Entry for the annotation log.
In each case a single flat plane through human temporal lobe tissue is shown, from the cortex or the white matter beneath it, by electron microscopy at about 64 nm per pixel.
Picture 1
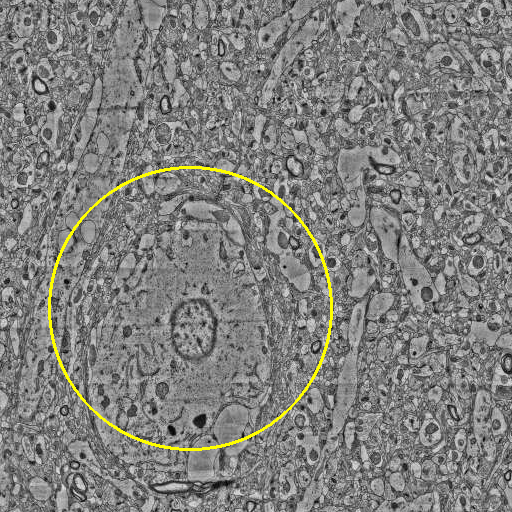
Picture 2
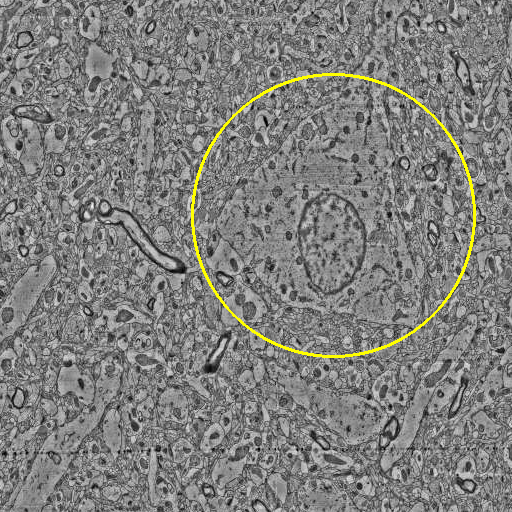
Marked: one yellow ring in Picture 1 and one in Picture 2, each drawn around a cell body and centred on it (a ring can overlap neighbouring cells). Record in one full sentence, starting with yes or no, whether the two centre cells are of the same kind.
Yes, both cells are of the same kind.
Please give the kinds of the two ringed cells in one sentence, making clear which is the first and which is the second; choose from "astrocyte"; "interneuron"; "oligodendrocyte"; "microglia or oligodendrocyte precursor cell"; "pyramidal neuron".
The first and the second cell are each a pyramidal neuron.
